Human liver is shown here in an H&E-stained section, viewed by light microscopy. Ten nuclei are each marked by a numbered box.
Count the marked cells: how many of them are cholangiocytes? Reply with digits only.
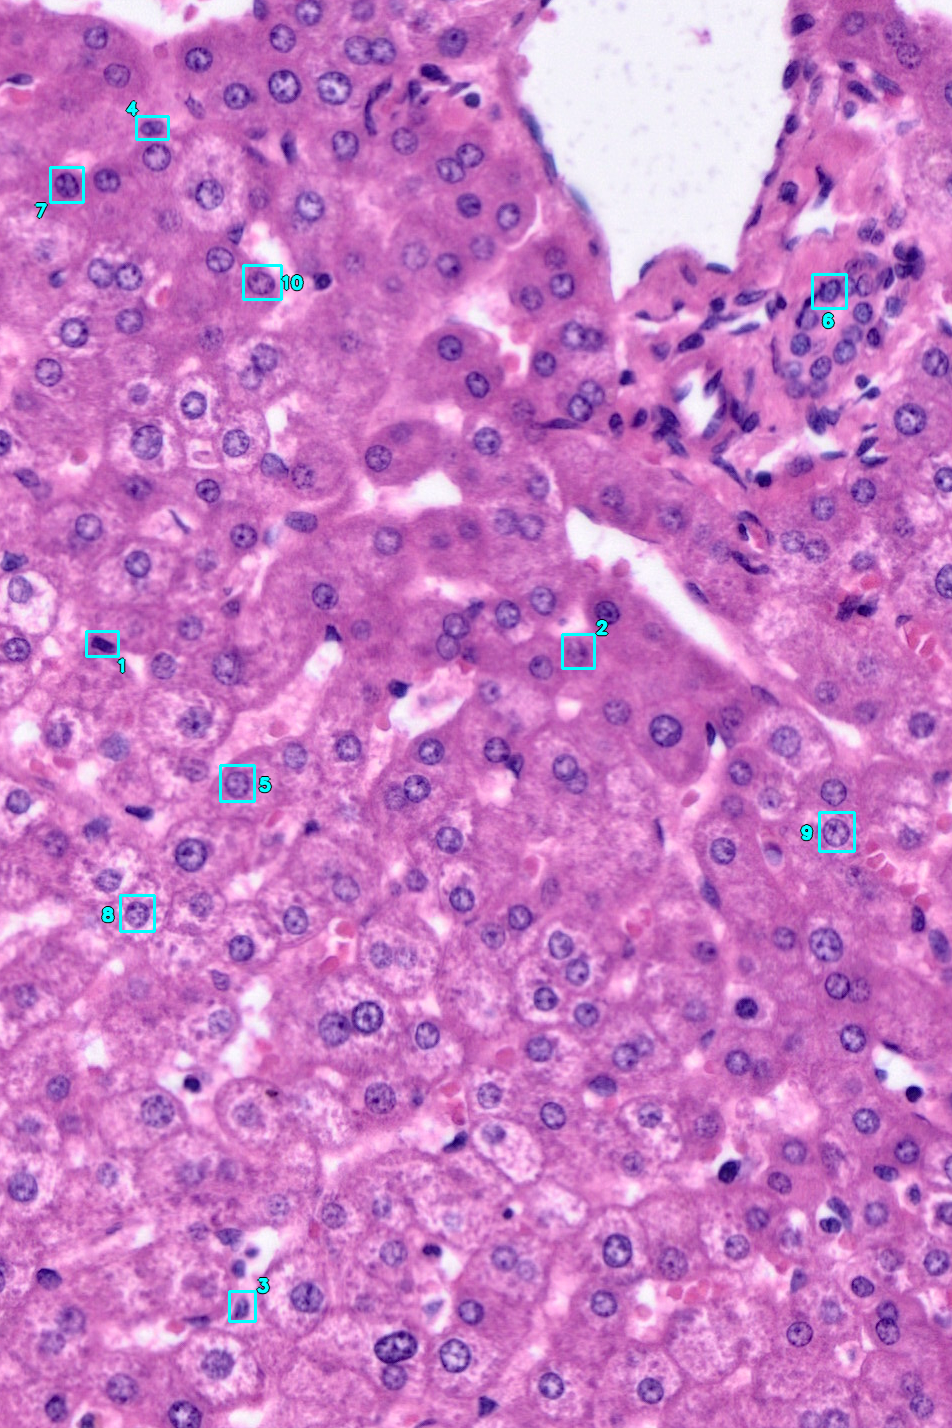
1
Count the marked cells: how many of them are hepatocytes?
6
